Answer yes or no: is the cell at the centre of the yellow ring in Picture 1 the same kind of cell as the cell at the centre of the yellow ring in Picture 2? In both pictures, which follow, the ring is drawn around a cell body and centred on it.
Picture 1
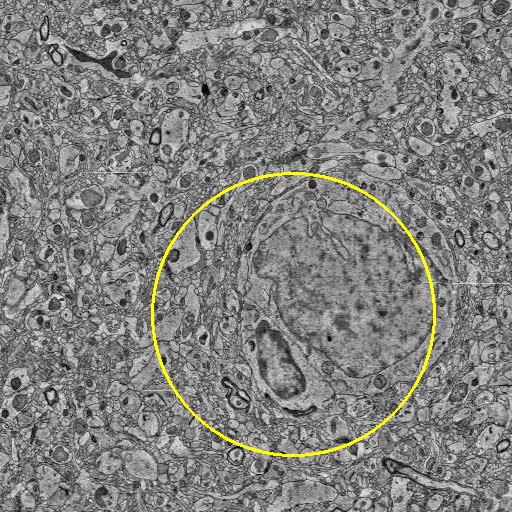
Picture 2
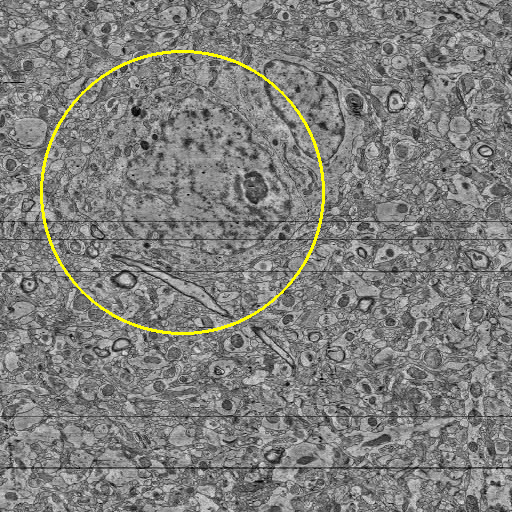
yes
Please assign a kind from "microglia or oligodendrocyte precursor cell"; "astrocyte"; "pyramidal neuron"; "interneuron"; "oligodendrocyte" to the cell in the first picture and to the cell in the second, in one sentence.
Each cell at the centre of a ring is an interneuron.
